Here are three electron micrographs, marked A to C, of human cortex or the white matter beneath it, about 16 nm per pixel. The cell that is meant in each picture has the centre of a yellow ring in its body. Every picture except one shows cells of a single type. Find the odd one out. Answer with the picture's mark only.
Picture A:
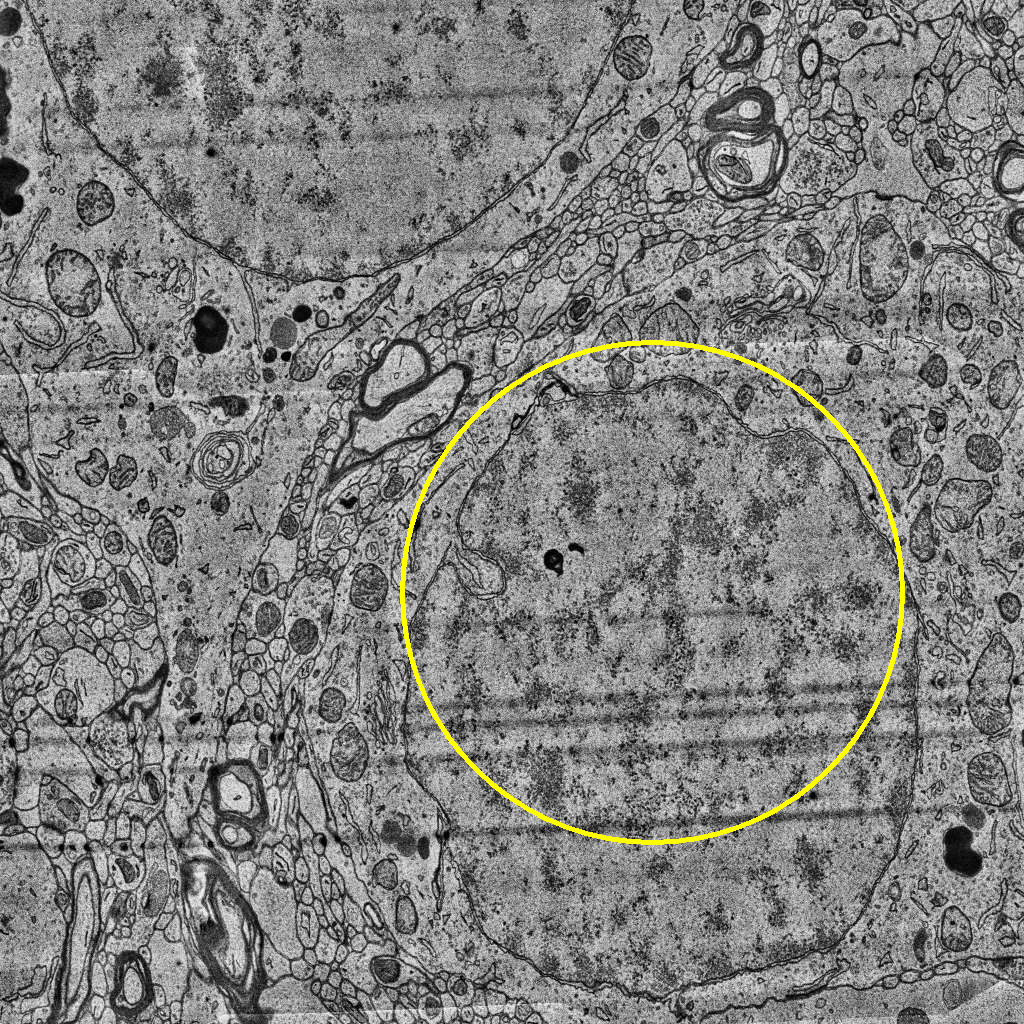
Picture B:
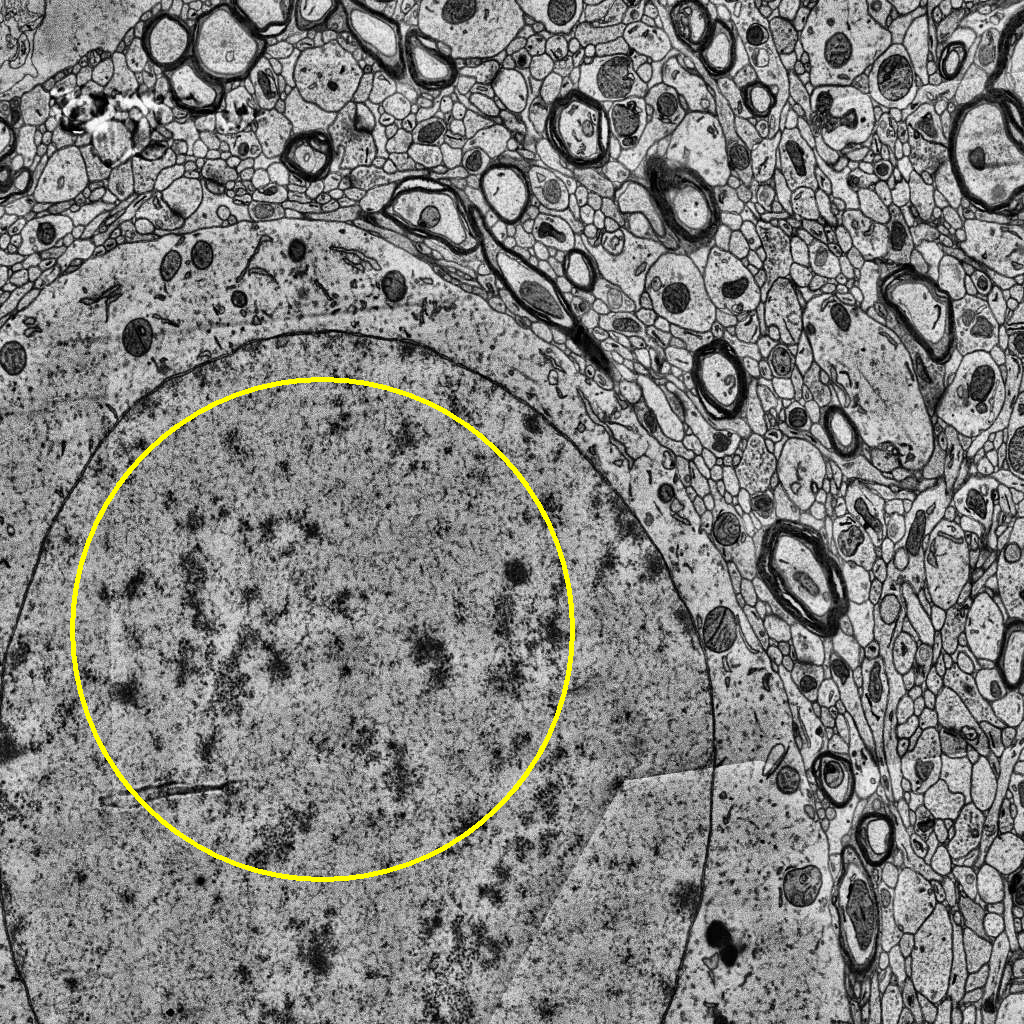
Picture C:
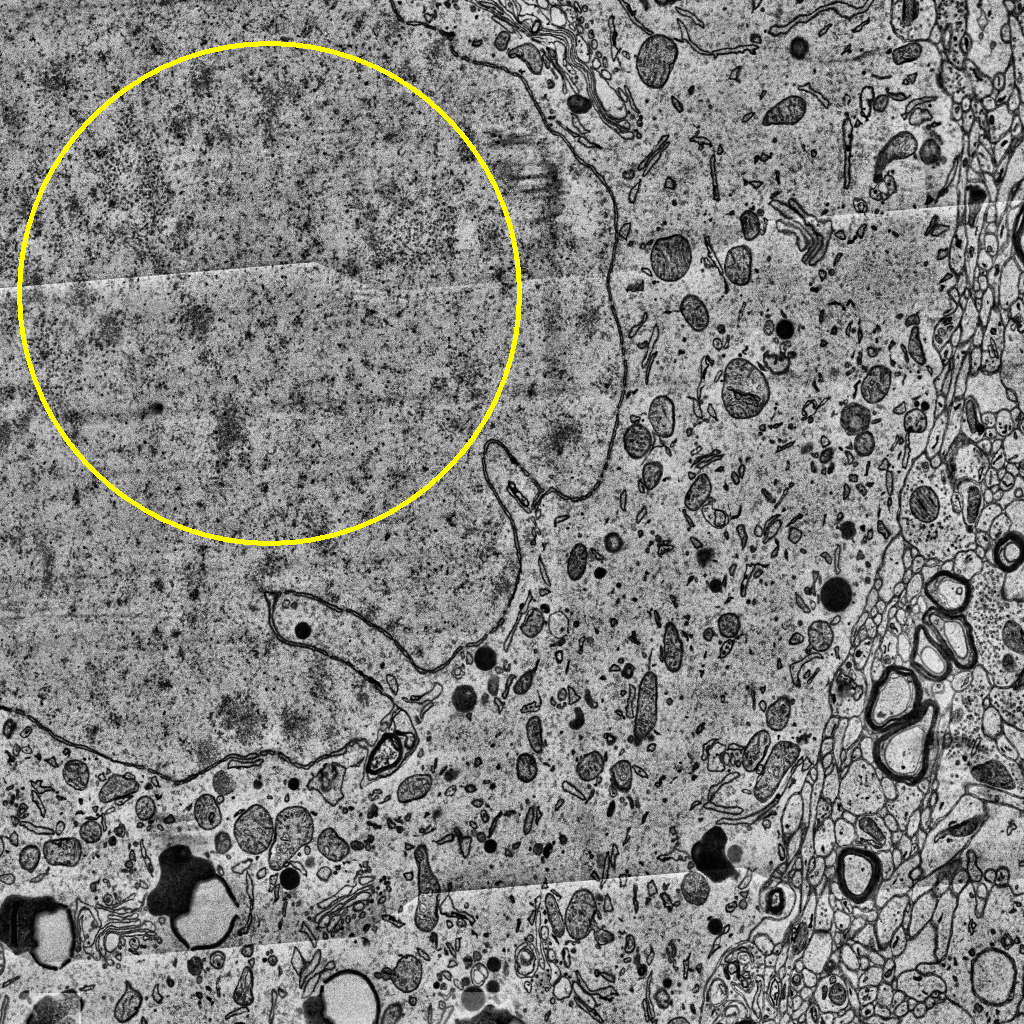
A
